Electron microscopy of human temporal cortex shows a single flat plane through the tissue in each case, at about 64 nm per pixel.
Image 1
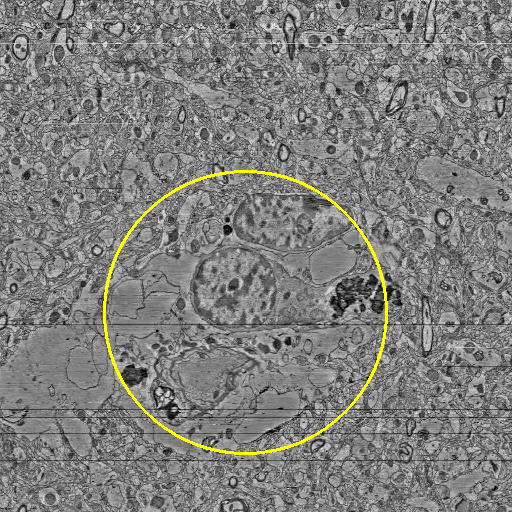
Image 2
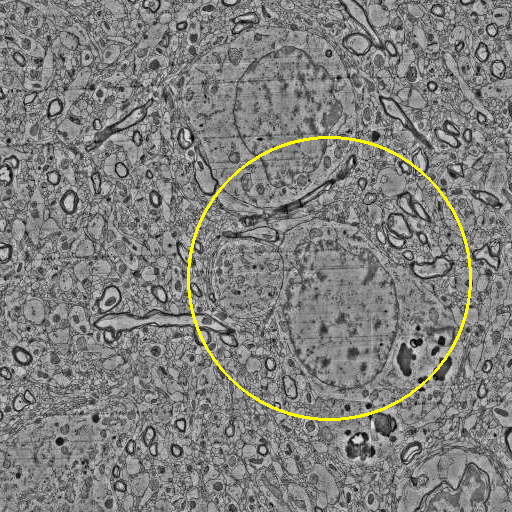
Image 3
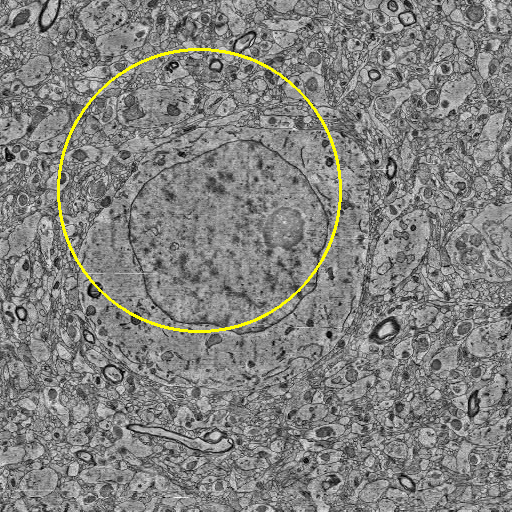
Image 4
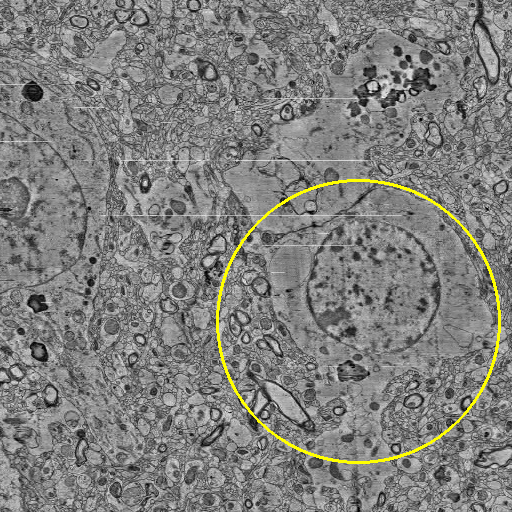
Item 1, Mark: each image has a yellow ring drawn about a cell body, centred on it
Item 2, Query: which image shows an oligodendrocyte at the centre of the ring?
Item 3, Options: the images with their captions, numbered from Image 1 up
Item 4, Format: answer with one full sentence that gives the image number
My answer is image 1, where the cell at the ring's centre fits.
